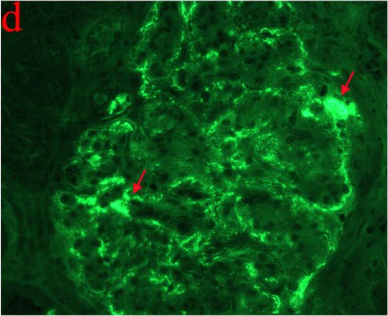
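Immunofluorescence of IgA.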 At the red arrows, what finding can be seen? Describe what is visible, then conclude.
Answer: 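The arrows point at bright, coarse green clumps within the glomerulus.
Conclusion: clumped deposition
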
